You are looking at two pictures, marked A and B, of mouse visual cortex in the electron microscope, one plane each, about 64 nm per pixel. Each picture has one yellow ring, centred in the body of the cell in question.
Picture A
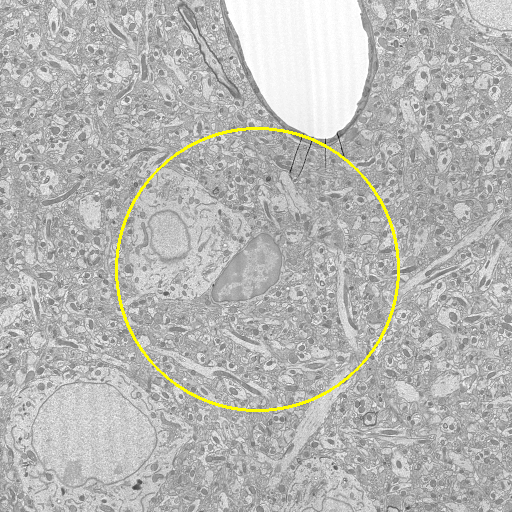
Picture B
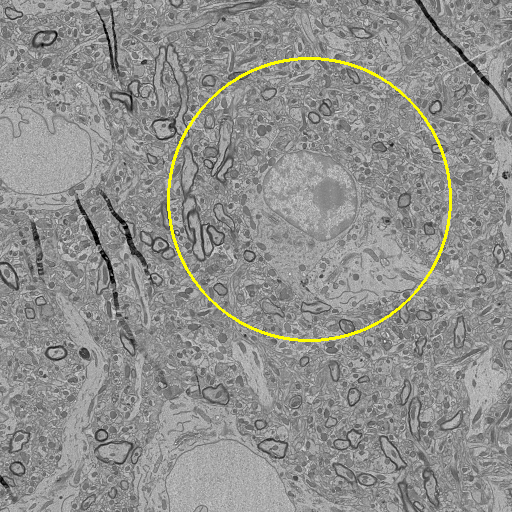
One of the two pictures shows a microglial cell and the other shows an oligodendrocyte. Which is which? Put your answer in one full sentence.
It is picture A that shows a microglial cell, and picture B that shows an oligodendrocyte.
